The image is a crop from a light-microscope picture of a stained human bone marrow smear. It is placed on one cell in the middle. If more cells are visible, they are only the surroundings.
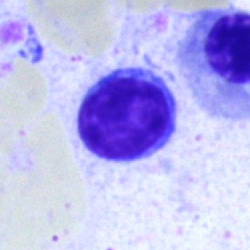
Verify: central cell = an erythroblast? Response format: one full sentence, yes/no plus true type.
No, the cell in the middle is categorised as a lymphocyte, not an erythroblast.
